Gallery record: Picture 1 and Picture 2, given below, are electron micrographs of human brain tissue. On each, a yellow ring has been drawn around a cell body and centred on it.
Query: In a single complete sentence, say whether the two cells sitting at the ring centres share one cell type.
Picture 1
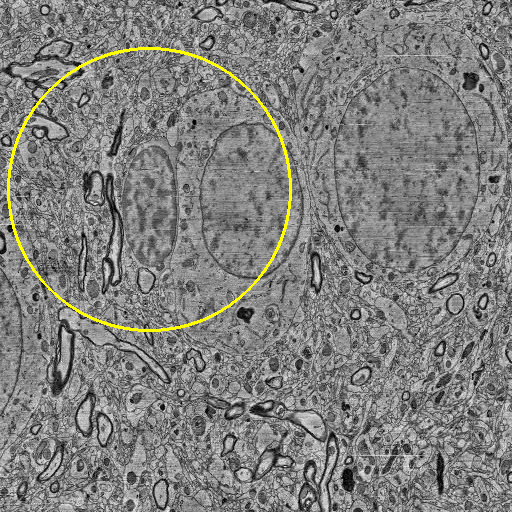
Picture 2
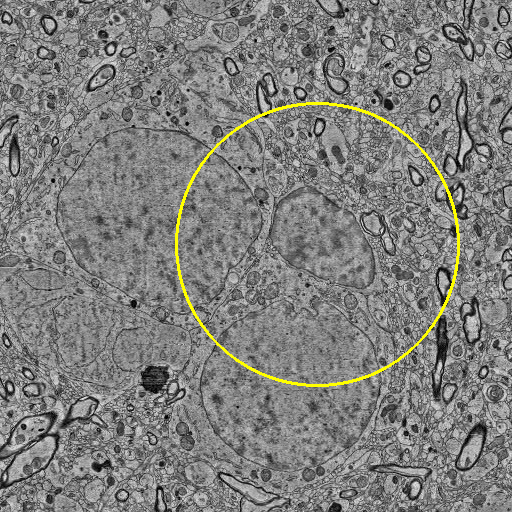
Yes, in both pictures the cell at the ring's centre is of one and the same type.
